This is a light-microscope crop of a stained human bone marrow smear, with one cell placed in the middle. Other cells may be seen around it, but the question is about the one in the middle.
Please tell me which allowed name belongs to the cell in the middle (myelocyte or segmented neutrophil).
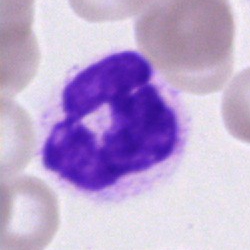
segmented neutrophil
